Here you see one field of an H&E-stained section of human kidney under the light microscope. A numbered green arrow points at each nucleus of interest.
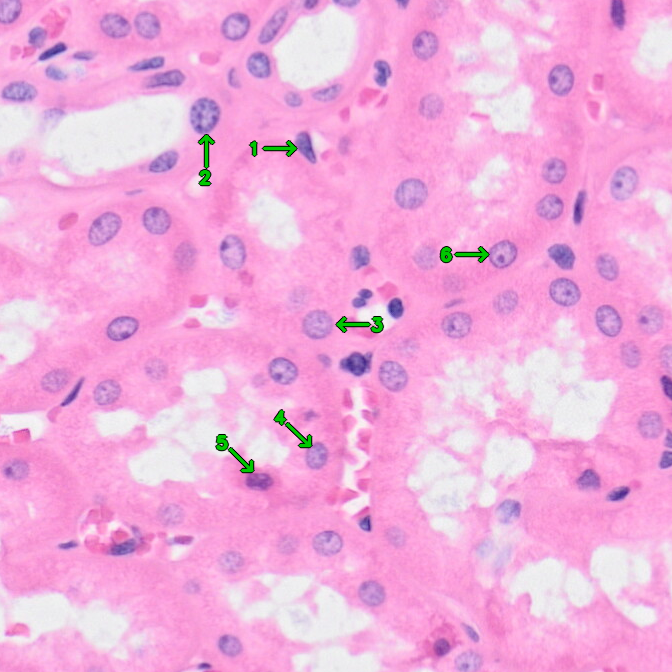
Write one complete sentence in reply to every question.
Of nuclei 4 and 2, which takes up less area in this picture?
Nucleus 4 is the smaller one; nucleus 2 covers about 2 times its area.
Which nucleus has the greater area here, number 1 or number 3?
It is nucleus 3, which covers about 1.5 times the area of nucleus 1.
